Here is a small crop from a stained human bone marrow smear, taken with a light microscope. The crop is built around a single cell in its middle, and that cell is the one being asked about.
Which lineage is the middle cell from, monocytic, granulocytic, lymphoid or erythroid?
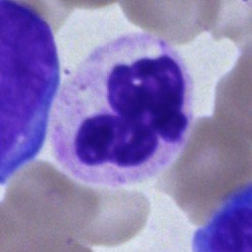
granulocytic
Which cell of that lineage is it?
segmented neutrophil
